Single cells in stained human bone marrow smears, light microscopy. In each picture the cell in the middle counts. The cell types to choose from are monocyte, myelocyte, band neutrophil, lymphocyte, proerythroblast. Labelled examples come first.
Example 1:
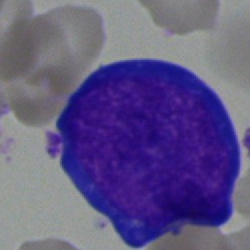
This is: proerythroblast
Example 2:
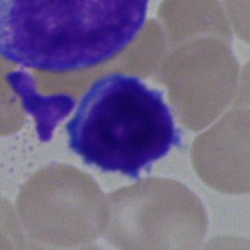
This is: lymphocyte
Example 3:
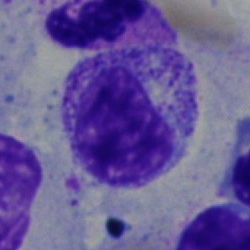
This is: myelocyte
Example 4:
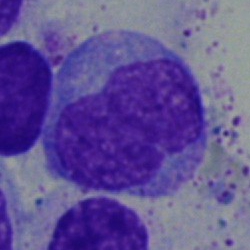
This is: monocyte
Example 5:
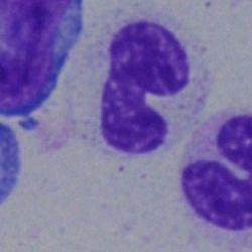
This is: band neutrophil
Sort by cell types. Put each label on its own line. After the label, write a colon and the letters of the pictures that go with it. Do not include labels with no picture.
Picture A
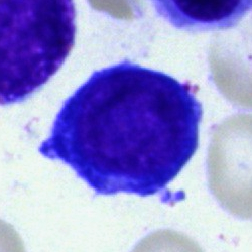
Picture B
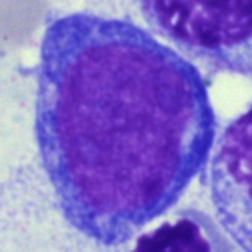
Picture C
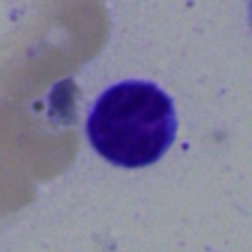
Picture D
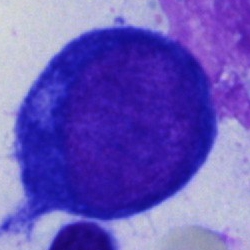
lymphocyte: C
proerythroblast: A, B, D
